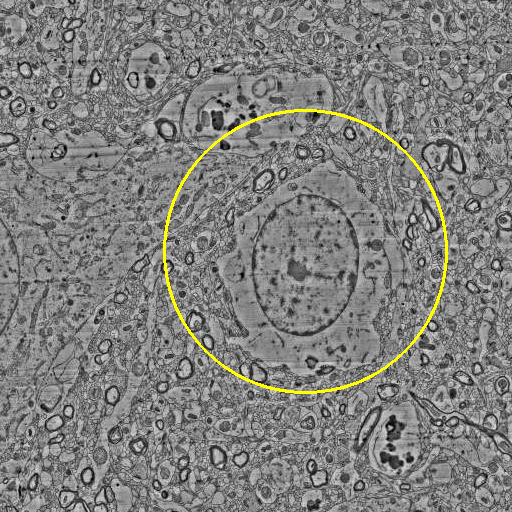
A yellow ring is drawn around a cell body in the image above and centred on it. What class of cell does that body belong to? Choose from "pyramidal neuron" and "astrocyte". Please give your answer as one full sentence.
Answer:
The yellow ring above is centred on the cell body of an astrocyte.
